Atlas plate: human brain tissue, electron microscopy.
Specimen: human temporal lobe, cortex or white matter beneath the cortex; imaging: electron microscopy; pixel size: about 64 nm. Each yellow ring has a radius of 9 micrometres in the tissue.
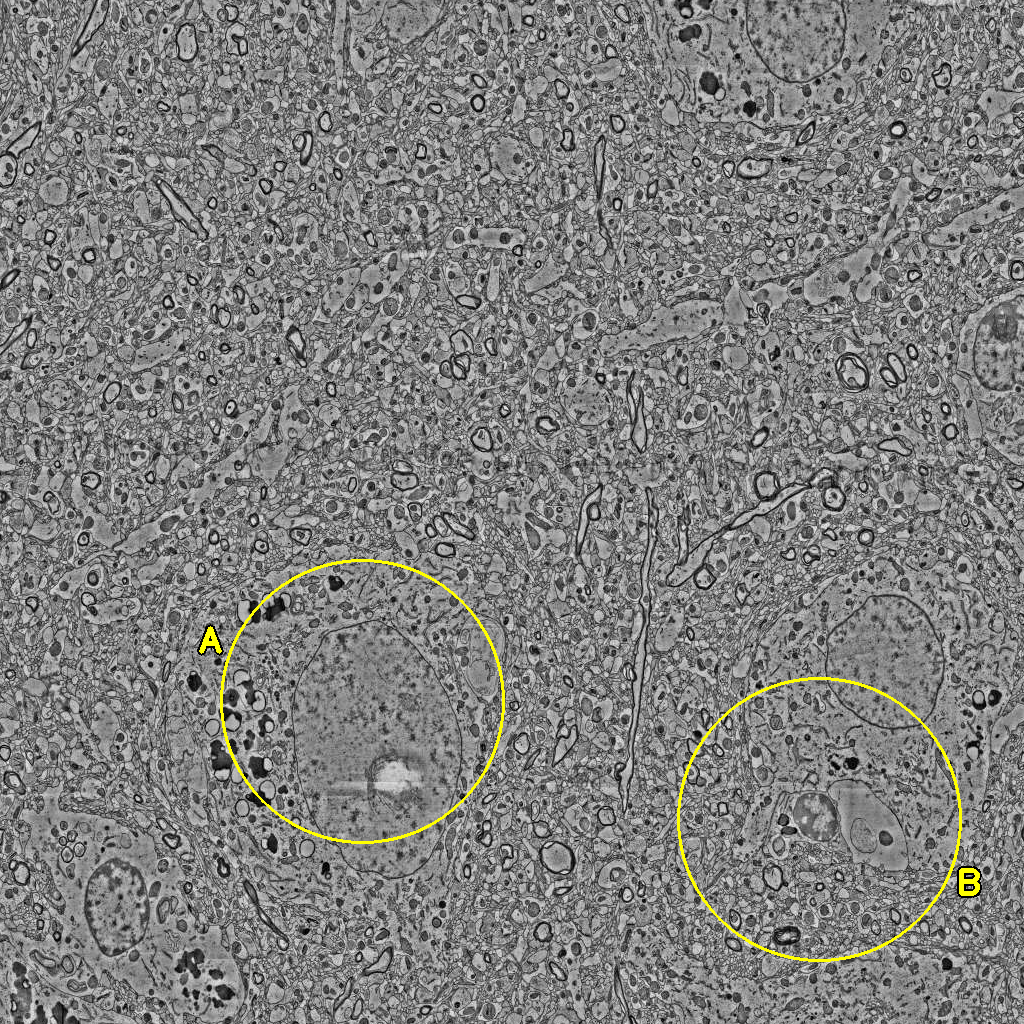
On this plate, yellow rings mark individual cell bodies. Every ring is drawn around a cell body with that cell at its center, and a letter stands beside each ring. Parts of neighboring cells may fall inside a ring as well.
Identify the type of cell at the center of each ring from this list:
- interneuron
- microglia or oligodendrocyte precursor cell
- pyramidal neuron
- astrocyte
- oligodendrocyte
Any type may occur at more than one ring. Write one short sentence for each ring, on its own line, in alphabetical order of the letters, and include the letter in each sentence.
At the center of ring A lies a pyramidal neuron.
At the center of ring B lies a microglial cell or oligodendrocyte precursor cell.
